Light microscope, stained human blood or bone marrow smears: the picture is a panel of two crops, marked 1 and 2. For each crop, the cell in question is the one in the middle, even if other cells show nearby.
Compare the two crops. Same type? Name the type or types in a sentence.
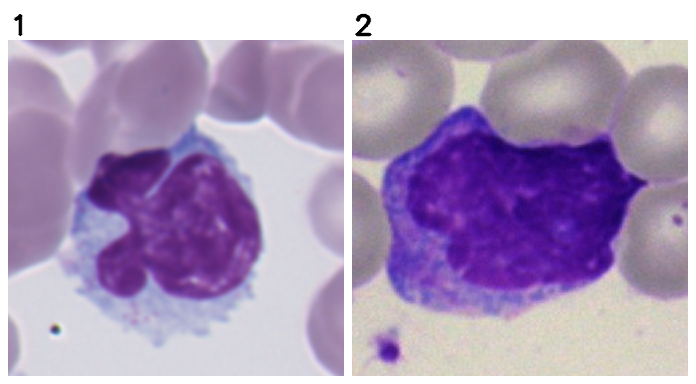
Yes, that holds, both crops show monocytes.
